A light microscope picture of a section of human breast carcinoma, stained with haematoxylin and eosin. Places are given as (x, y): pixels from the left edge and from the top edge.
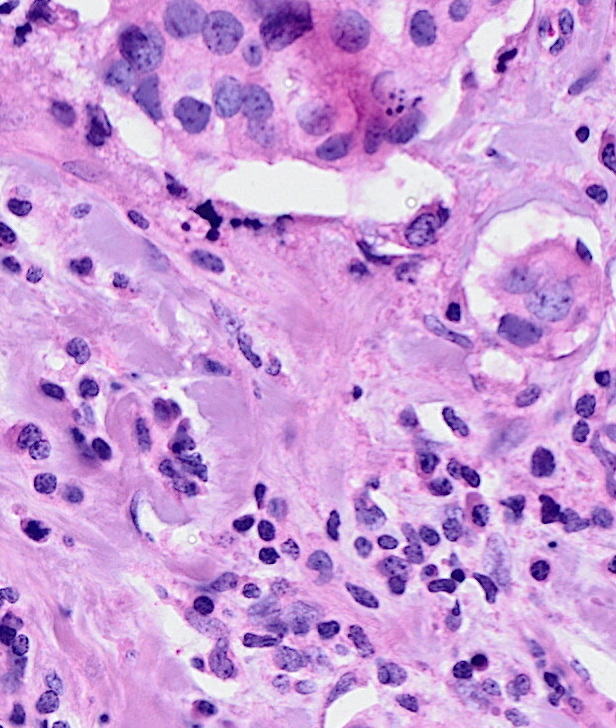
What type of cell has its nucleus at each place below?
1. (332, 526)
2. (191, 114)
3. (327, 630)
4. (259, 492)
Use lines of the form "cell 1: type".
cell 1: lymphocyte
cell 2: carcinoma cell
cell 3: lymphocyte
cell 4: lymphocyte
